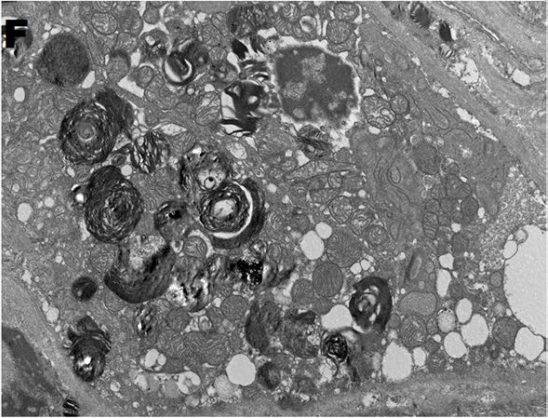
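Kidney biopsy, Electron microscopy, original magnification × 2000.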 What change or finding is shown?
Deposits.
